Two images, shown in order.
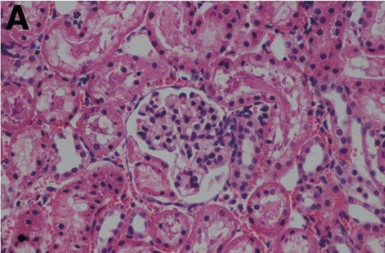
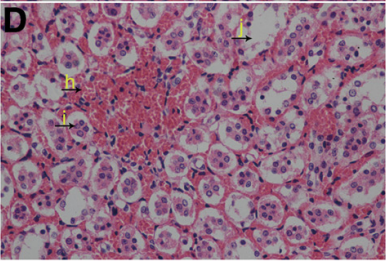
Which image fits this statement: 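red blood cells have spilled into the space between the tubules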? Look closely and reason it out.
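Second image: a large central patch of packed red blood cells lies between the tubules. First image: tubules and a glomerulus lie close together with no pooled red cells between them.
The second image.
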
